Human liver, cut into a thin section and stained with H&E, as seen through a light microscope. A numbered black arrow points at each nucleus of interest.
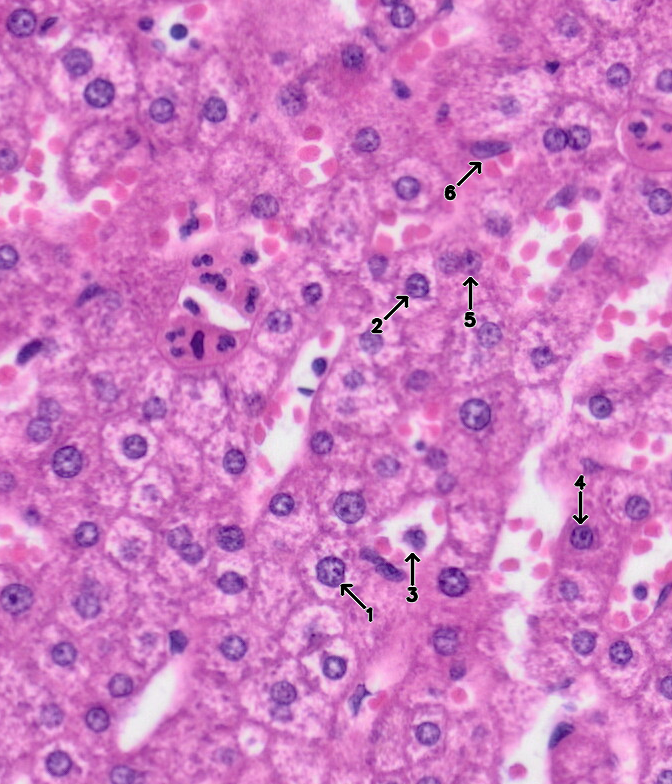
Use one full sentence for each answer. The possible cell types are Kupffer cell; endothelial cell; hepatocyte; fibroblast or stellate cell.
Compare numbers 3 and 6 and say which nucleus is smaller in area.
The smaller nucleus is 3, and 6 covers roughly 1.5 times its area.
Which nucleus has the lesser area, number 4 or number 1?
The smaller nucleus is 4, and 1 covers roughly 1.5 times its area.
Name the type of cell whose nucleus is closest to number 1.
The nucleus nearest to number 1 is that of an endothelial cell.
